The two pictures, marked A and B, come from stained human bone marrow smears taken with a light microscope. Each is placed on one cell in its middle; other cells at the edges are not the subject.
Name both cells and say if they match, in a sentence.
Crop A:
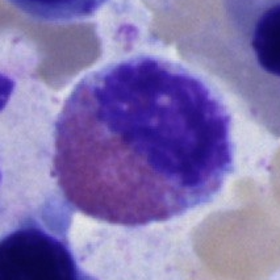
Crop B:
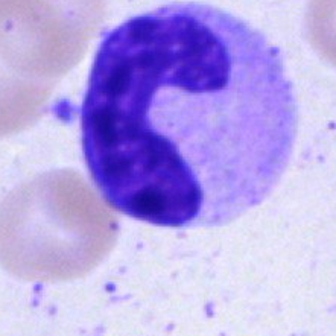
No, the middle of crop A holds an eosinophil, and the middle of crop B holds a band neutrophil.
